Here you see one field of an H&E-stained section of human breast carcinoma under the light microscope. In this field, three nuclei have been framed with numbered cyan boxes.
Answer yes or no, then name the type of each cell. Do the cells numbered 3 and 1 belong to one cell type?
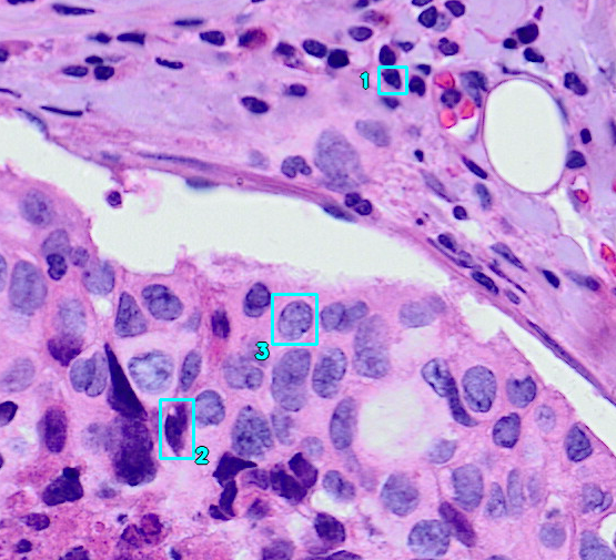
No, cell 3 is categorized as a carcinoma cell, while cell 1 is categorized as a lymphocyte.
